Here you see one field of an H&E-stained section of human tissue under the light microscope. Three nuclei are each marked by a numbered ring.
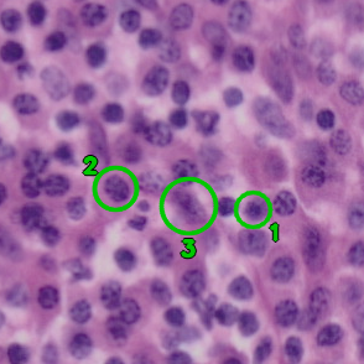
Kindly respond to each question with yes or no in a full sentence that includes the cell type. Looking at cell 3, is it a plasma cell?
No, cell 3 does not represent a plasma cell; it represents a squamous epithelial cell.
